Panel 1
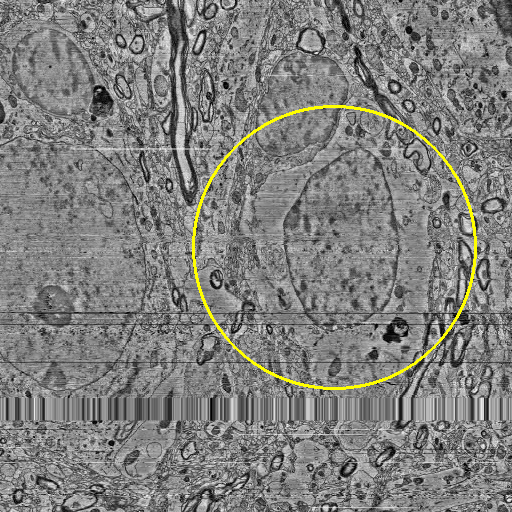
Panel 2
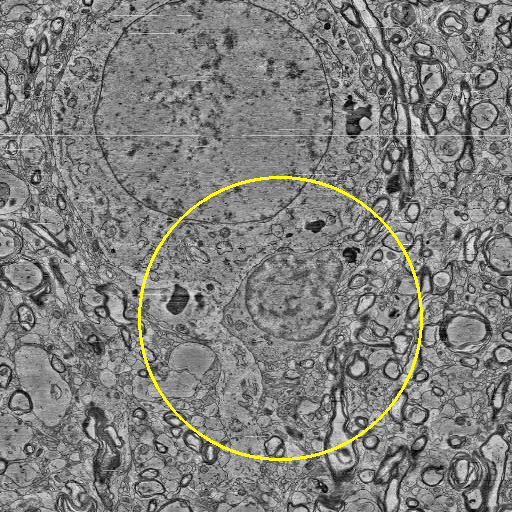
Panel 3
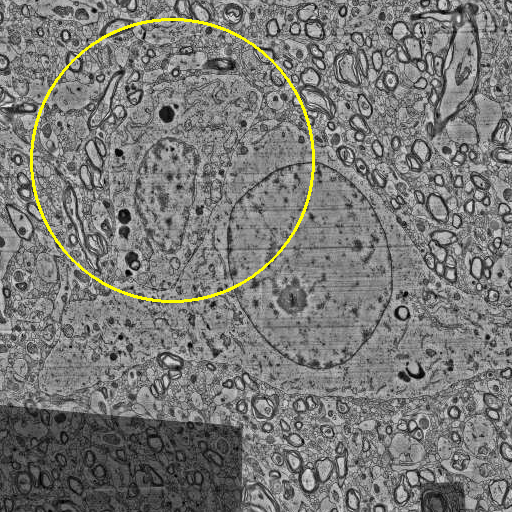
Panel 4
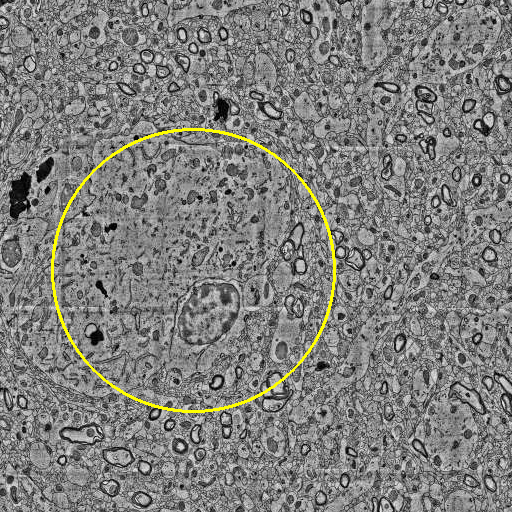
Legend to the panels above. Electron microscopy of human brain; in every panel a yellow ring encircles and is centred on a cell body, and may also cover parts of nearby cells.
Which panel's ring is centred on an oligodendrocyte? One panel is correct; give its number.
2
